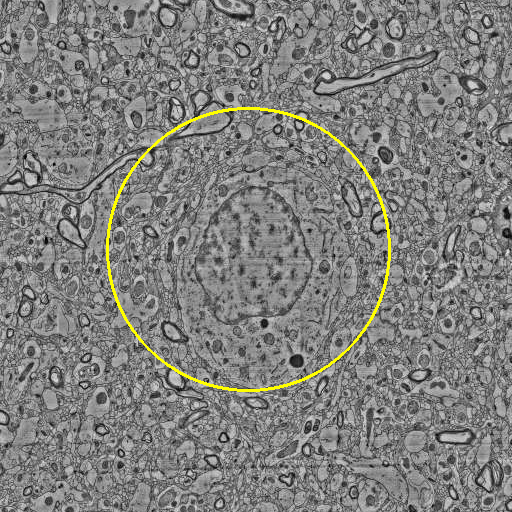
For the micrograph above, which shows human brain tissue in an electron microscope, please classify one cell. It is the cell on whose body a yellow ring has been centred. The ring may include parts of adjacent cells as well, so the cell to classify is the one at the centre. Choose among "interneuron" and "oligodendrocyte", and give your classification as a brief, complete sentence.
I classify this cell as an interneuron.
